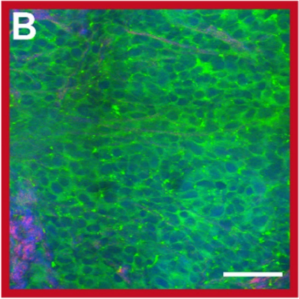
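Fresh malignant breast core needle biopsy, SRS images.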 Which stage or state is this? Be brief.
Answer: Solid pattern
